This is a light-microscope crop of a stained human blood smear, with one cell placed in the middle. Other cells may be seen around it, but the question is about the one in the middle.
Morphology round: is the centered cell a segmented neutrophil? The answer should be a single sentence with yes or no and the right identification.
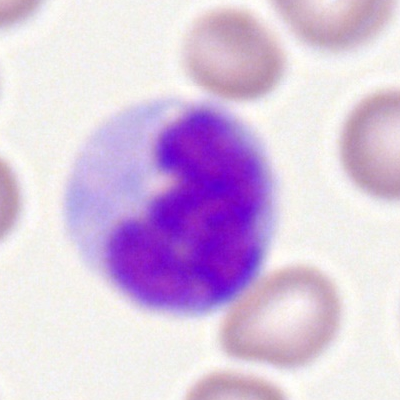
No, looking at the central cell, it is a monocyte rather than a segmented neutrophil.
